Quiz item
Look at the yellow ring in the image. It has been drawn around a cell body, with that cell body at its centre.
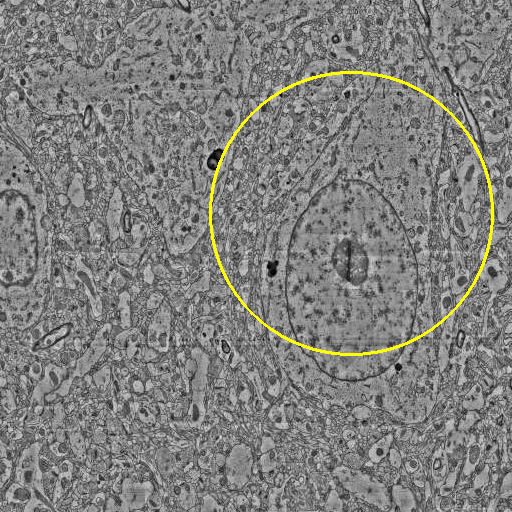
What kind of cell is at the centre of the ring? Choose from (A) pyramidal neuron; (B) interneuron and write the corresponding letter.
A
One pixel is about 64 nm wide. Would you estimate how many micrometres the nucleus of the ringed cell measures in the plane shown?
The nucleus appears roughly 13 by 9 micrometres in this plane.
